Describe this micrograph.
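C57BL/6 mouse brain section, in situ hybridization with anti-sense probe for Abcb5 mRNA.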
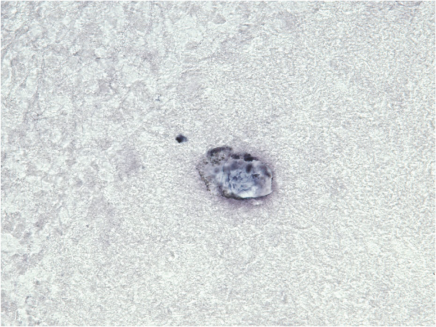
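The vessel forms an oval profile with a light lumen holding darker, patchy material. Purple stain is concentrated along the rim of this profile, in the perivascular region. The surrounding tissue is pale with a fine meshwork texture and only faint background tint. A small dark speck lies a short distance from the vessel.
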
